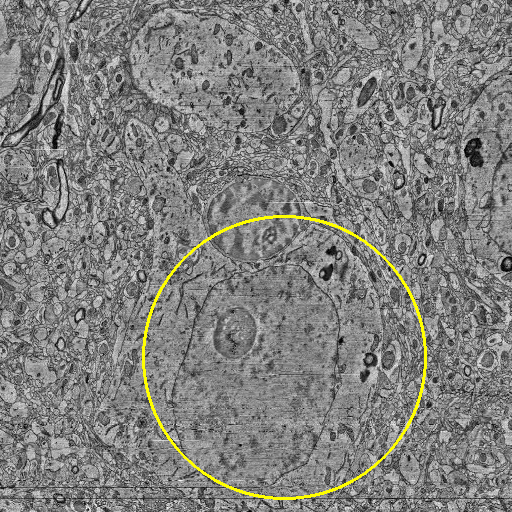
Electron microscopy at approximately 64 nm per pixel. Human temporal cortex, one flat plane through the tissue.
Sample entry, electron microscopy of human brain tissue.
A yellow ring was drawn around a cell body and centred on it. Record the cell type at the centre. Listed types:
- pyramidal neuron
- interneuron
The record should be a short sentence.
The cell at the ring's centre is a pyramidal neuron.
